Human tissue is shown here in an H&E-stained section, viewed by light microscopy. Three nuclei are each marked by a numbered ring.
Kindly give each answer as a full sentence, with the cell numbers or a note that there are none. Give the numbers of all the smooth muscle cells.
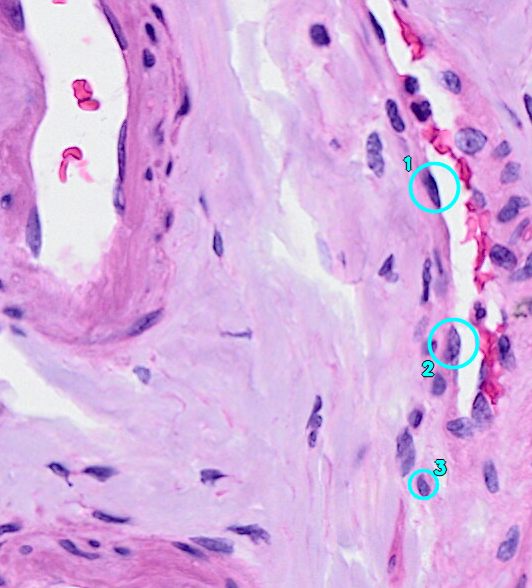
Cell 3 stands alone among the numbered cells as a smooth muscle cell.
